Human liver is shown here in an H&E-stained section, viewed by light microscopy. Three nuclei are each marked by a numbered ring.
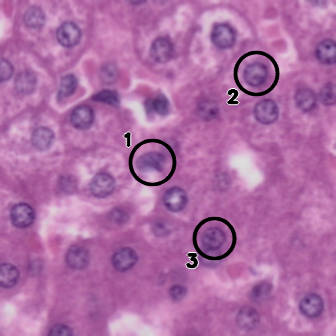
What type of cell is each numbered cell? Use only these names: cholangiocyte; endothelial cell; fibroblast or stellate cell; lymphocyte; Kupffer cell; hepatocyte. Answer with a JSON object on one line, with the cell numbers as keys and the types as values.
{"1": "endothelial cell", "2": "hepatocyte", "3": "hepatocyte"}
